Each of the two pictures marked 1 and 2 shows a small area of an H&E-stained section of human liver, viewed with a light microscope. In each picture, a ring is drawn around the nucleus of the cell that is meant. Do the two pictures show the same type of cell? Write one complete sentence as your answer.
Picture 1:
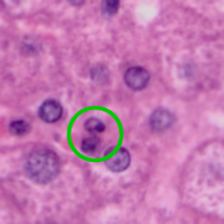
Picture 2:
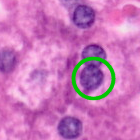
No, picture 1 shows a Kupffer cell and picture 2 shows a hepatocyte.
